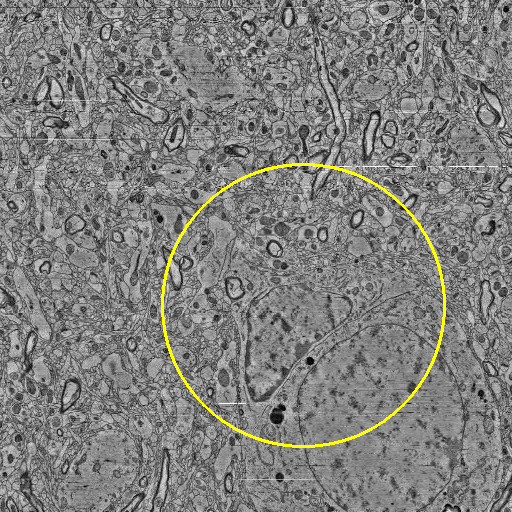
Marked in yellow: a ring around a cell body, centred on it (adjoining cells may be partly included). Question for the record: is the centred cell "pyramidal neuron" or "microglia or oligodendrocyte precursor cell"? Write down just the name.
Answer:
microglia or oligodendrocyte precursor cell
